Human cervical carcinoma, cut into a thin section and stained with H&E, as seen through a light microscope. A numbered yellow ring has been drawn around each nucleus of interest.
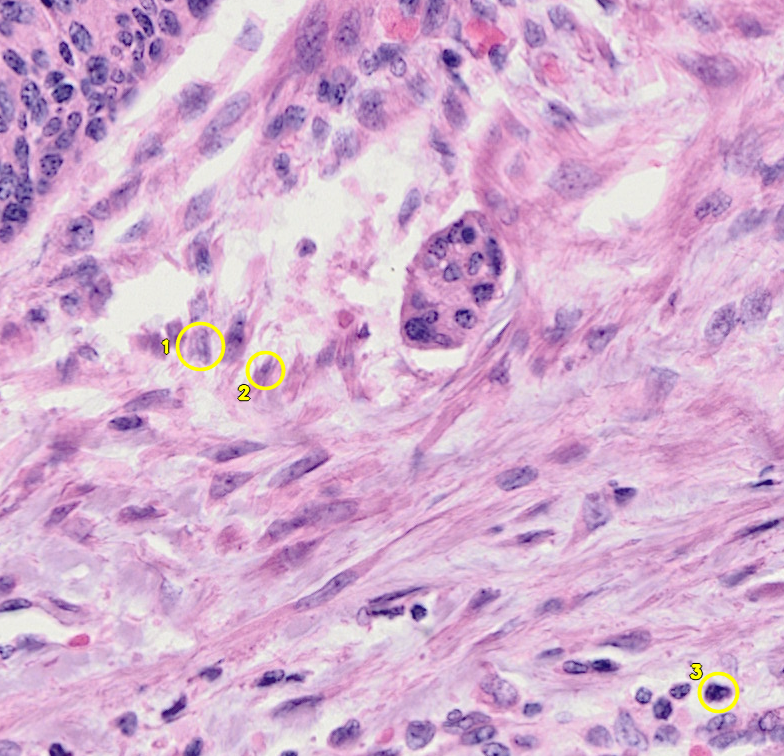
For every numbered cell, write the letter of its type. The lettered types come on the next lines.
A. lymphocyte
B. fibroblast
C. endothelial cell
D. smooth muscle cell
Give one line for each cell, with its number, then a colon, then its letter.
1: B
2: B
3: A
